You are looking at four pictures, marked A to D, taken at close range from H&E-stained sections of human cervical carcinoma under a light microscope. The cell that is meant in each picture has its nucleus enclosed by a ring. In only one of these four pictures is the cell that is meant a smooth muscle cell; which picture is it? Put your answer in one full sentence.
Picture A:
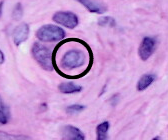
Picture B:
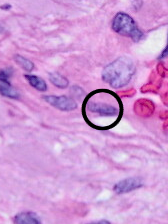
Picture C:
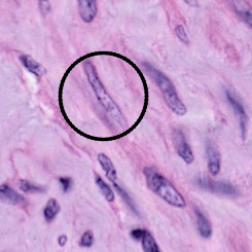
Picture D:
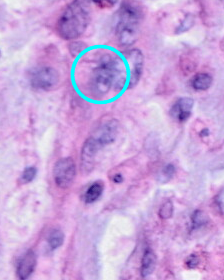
Picture C is the one that shows the smooth muscle cell.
